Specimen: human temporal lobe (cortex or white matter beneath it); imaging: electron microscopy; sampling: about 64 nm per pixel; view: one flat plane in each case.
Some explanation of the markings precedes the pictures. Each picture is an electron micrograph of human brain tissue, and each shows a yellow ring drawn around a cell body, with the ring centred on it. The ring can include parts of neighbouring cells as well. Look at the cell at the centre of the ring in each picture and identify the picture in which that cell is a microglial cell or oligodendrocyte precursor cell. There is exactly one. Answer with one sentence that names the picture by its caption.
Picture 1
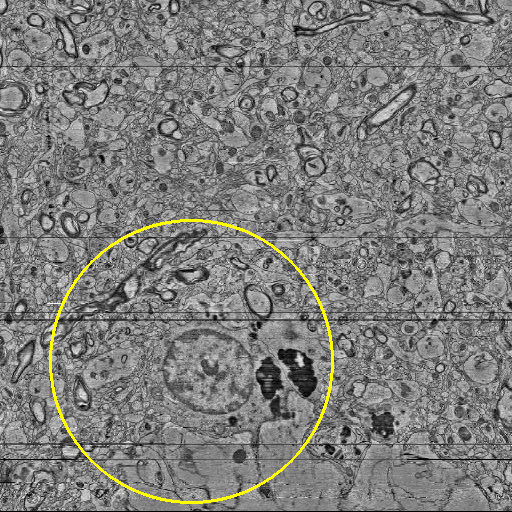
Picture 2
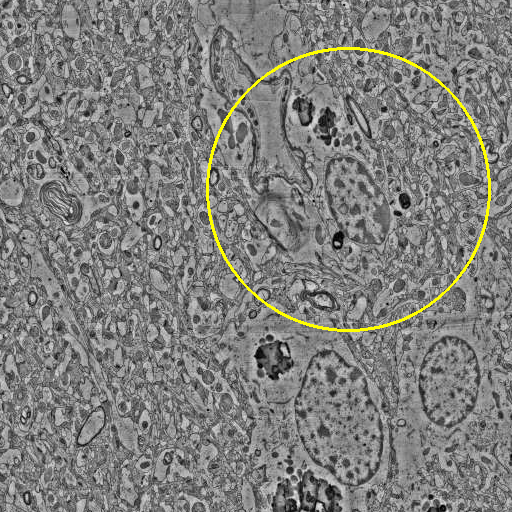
In Picture 2, the cell at the centre of the ring is of that kind.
